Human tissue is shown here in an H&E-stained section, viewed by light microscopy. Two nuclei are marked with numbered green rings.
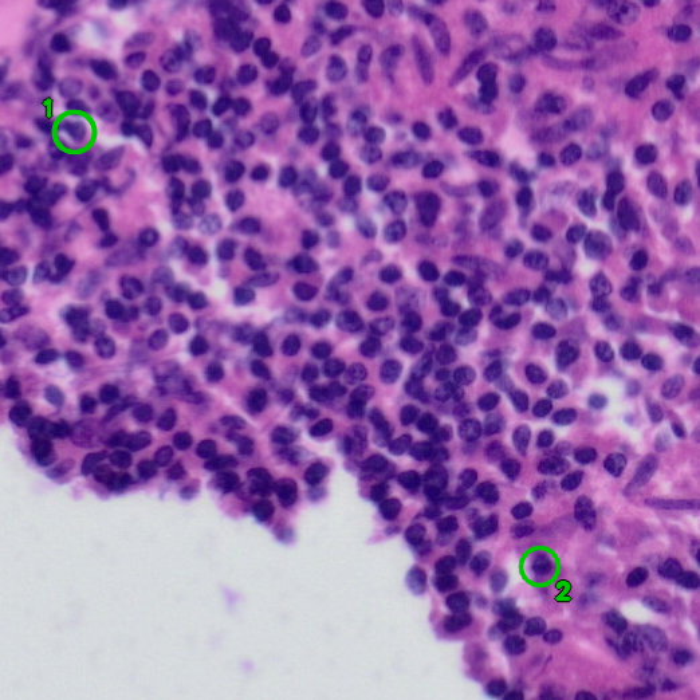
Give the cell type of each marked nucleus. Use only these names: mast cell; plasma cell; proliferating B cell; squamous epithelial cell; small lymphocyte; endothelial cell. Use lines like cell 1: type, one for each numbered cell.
cell 1: small lymphocyte
cell 2: plasma cell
